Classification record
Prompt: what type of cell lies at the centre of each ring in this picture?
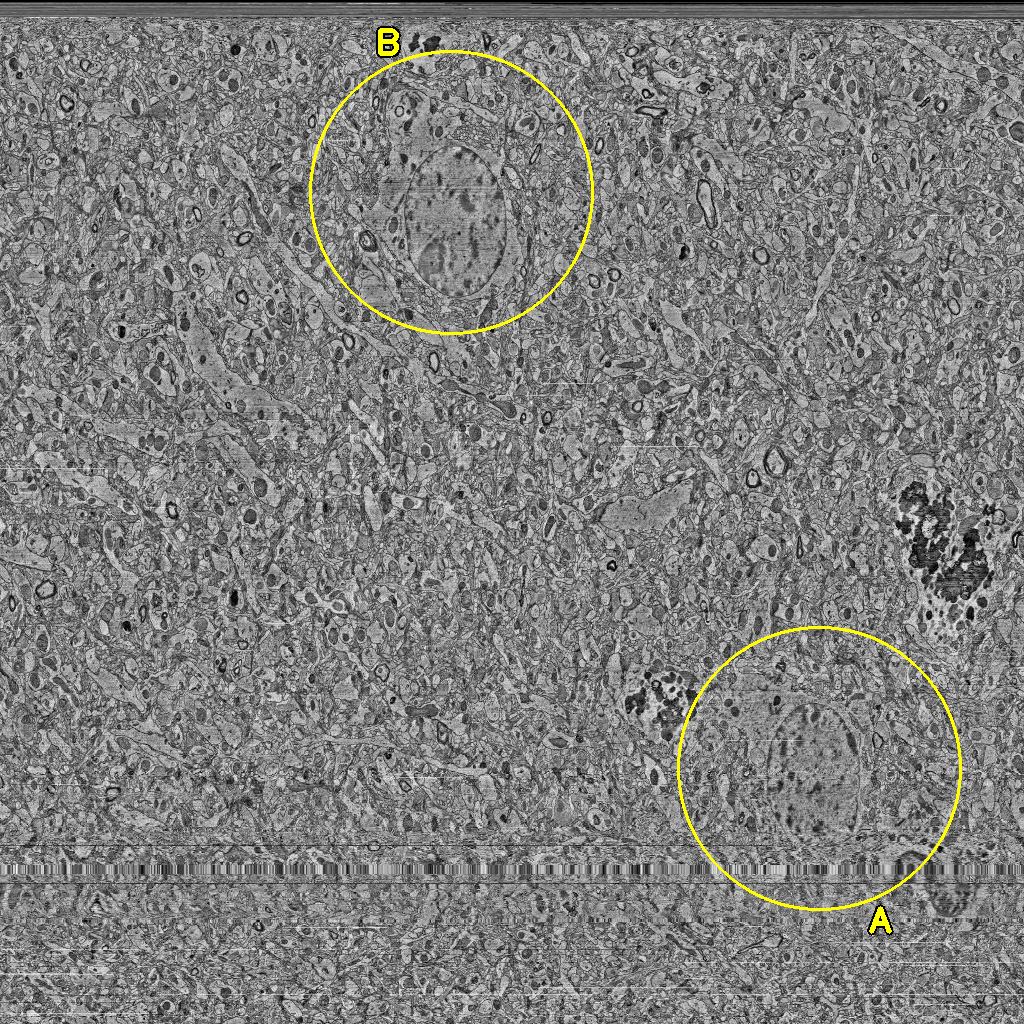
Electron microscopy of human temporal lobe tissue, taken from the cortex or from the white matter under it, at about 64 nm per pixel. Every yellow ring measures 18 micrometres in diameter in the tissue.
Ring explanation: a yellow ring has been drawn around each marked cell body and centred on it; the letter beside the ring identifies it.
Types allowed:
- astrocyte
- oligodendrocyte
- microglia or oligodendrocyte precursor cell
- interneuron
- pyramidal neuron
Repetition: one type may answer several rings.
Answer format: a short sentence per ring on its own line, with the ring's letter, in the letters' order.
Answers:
Ring A shows an astrocyte at its centre.
Ring B shows an astrocyte at its centre.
